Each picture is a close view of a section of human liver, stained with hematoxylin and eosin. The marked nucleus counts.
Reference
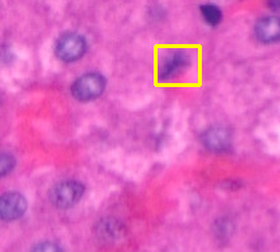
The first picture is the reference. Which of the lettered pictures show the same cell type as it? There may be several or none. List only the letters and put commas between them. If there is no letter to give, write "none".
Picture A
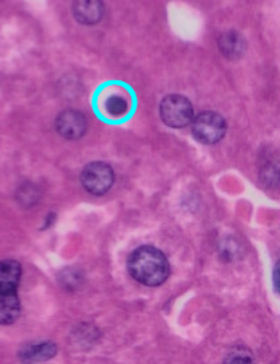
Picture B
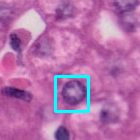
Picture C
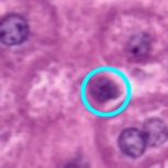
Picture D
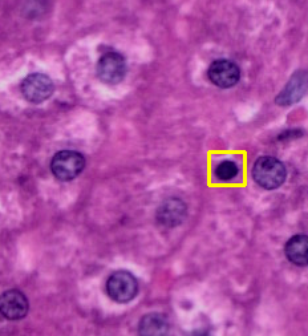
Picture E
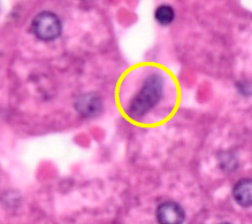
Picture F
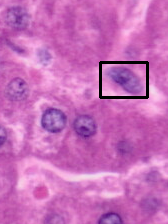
none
